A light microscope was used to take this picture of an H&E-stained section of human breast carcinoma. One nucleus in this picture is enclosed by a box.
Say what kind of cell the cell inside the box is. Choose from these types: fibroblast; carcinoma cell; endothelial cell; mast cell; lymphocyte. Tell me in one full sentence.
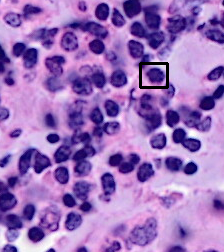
In the stained section, the cell inside the box is a lymphocyte.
